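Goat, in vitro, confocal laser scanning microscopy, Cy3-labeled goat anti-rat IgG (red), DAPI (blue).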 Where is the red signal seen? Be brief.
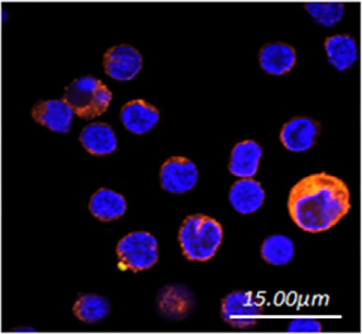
Surface of cells.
